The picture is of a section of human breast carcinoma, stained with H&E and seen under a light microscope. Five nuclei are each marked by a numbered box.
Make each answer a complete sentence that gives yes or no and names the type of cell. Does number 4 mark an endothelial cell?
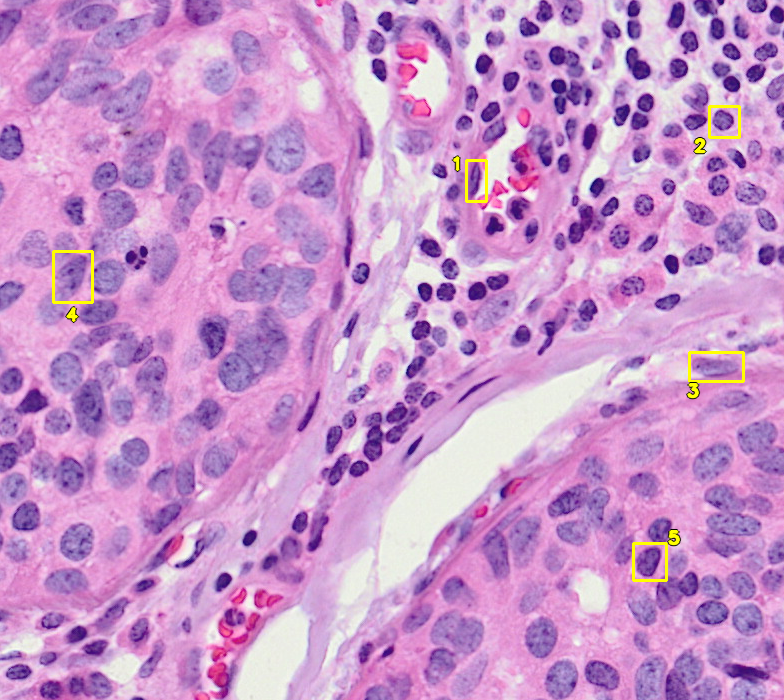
No, the cell that carries number 4 is a carcinoma cell, not an endothelial cell.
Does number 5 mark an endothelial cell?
No, in terms of cell type, cell 5 is a carcinoma cell, not an endothelial cell.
